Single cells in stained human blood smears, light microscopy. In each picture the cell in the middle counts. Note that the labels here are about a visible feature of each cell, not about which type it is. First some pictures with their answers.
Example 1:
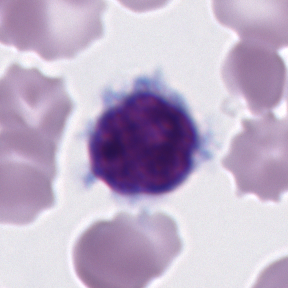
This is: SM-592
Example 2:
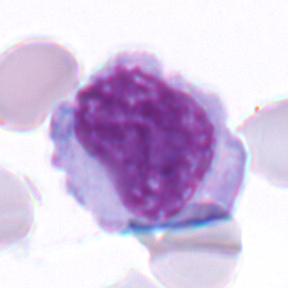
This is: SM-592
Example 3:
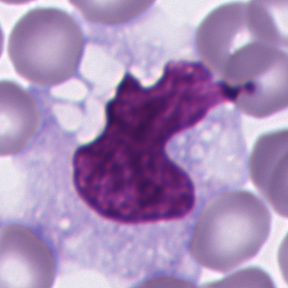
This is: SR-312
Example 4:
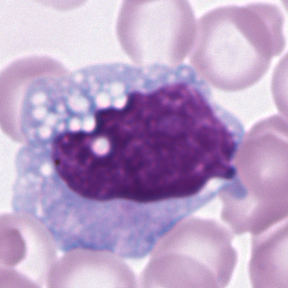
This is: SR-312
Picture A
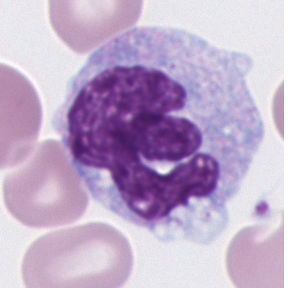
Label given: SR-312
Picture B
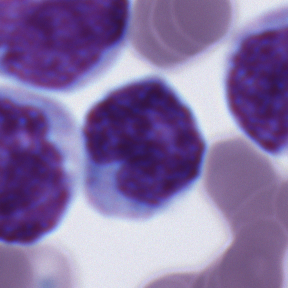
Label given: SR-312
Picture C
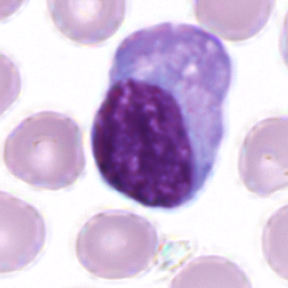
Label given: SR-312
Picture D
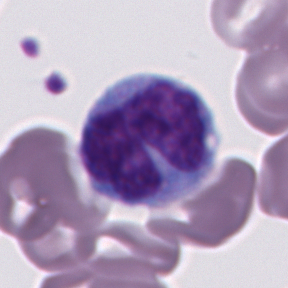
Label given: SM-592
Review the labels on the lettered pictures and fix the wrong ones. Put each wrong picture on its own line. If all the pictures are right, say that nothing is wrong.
B is labelled SR-312; correct label: SM-592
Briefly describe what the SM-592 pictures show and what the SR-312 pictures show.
Seen in SM-592: scant cytoplasm; seen in SR-312: abundant cytoplasm.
